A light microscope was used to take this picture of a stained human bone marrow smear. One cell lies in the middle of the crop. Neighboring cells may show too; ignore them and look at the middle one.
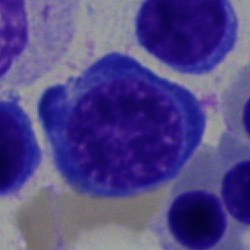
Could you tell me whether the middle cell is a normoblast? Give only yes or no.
yes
